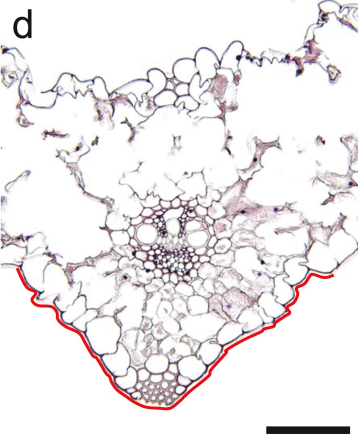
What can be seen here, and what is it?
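The vascular bundle contains a few wide, round vessels beside a cluster of small, densely packed cells, and is ringed by larger rounded cells. Below it the lower surface forms a pointed protrusion, traced by a red line, whose tip is filled with a compact group of small thick-walled cells.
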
